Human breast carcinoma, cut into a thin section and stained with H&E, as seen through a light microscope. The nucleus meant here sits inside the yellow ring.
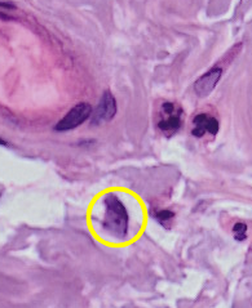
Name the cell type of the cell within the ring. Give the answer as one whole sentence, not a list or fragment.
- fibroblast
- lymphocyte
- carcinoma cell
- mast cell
In this section, the cell within the ring is a fibroblast.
